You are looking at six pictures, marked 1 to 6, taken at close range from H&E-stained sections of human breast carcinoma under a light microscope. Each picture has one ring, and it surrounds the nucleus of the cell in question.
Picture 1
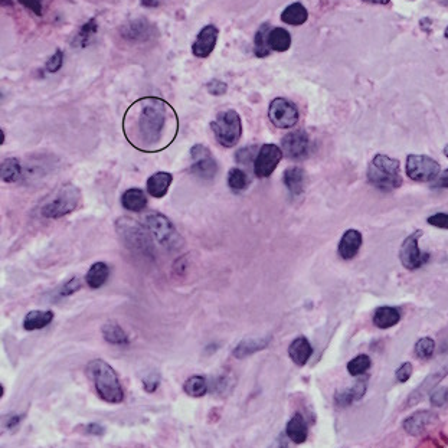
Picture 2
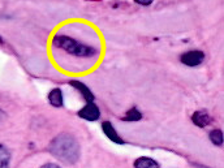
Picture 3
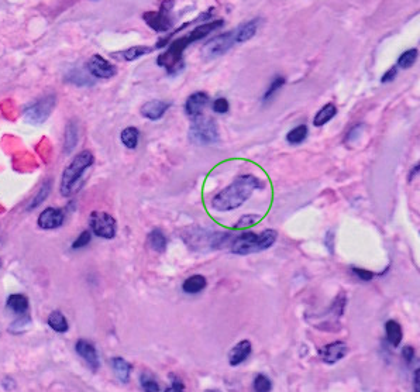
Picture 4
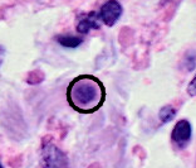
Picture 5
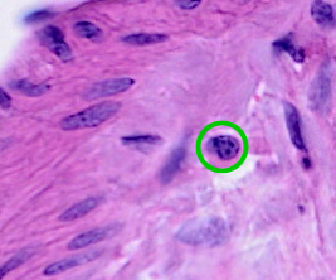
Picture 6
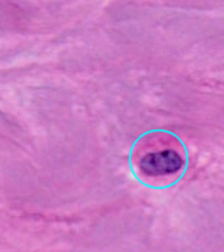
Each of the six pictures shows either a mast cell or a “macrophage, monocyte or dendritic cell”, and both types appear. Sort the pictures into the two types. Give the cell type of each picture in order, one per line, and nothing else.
macrophage, monocyte or dendritic cell
mast cell
macrophage, monocyte or dendritic cell
mast cell
mast cell
mast cell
